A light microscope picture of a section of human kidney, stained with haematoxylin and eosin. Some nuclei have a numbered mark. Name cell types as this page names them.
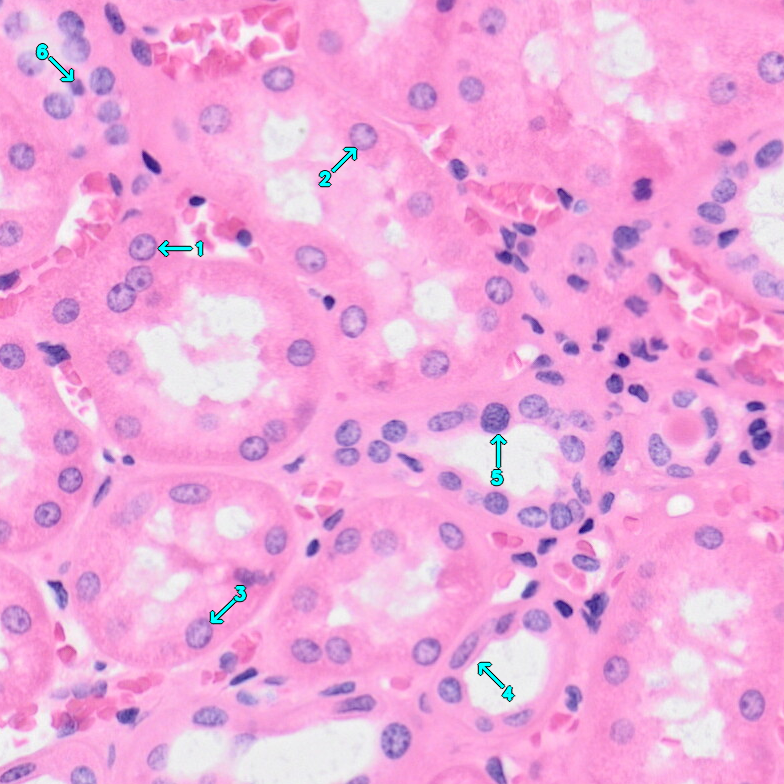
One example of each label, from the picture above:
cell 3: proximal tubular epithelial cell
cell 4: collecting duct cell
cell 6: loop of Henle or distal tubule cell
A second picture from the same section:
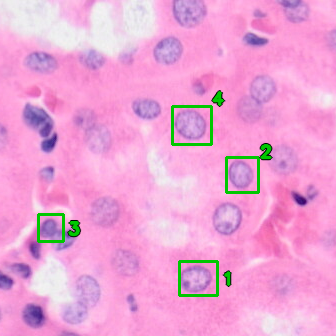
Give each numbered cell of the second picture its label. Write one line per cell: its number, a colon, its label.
1: proximal tubular epithelial cell
2: proximal tubular epithelial cell
3: collecting duct cell
4: proximal tubular epithelial cell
